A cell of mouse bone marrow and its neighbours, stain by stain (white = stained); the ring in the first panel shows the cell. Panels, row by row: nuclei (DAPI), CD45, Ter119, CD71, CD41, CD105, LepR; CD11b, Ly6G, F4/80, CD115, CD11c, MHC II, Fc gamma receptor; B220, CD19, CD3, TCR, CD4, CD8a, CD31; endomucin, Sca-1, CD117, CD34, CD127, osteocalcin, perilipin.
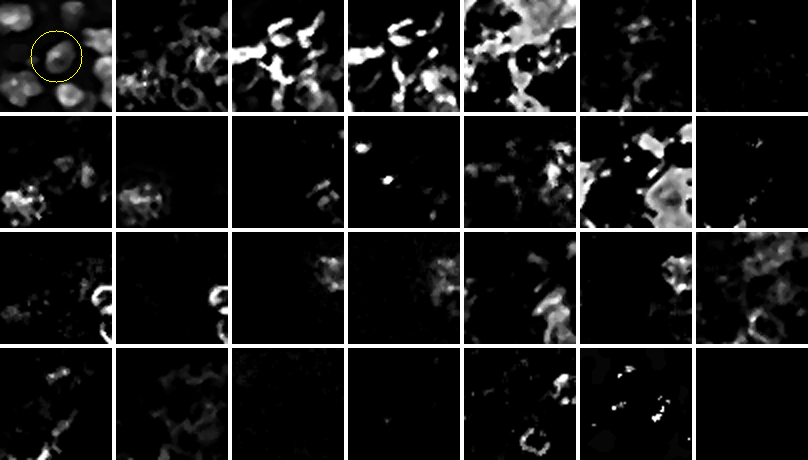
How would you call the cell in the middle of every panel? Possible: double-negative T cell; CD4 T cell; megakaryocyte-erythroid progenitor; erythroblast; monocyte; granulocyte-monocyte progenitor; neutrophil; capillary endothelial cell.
I would call it an erythroblast.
